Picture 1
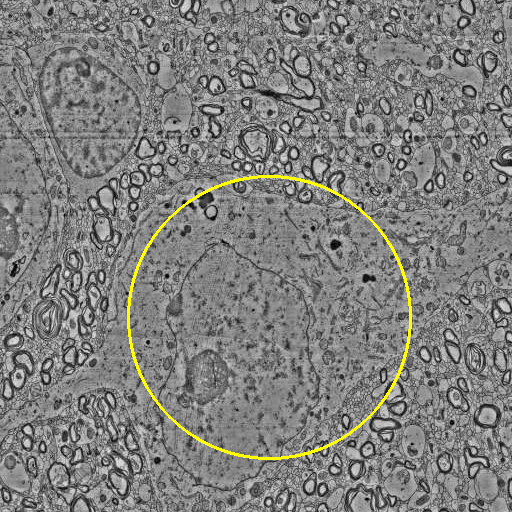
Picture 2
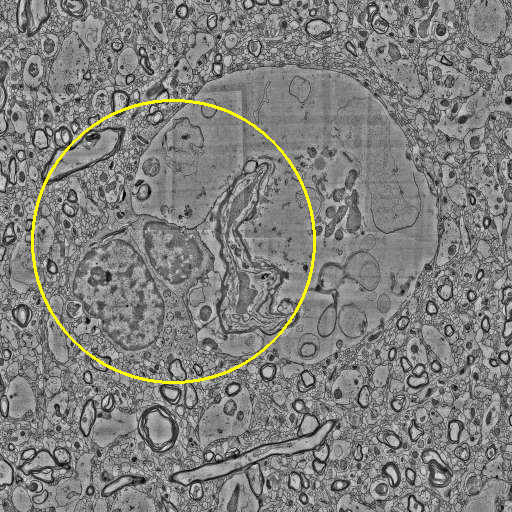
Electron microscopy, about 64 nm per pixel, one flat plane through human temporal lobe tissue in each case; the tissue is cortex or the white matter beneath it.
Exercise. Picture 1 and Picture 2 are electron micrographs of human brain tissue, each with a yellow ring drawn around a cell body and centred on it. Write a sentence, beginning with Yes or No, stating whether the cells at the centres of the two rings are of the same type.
No, the cells at the centres of the rings are of two types.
